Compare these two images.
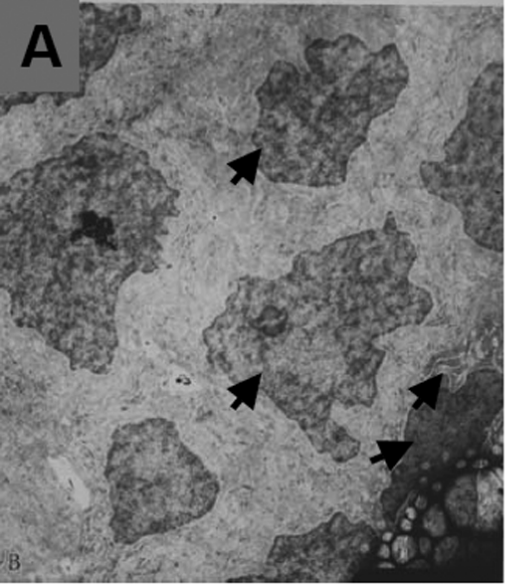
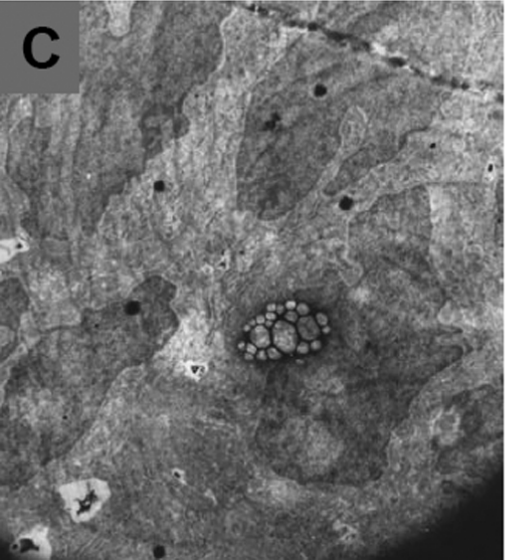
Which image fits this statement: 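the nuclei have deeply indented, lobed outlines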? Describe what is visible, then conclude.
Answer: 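First image: nuclei have irregular, deeply notched, lobed outlines.
The first image.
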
